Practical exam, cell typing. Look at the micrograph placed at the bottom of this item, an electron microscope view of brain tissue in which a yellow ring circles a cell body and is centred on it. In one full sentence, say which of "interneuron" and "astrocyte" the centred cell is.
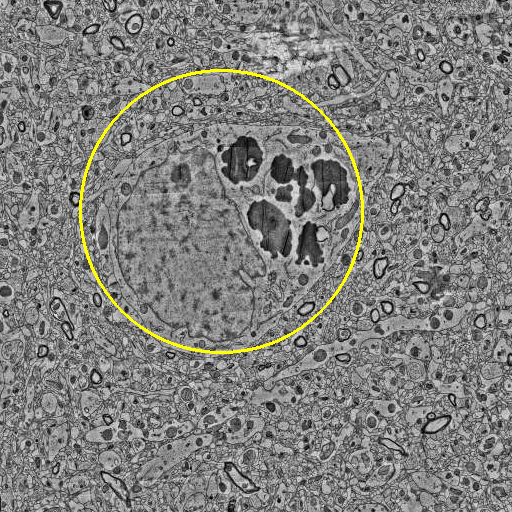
Given the options, an interneuron fits the cell whose body the yellow ring is centred on.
